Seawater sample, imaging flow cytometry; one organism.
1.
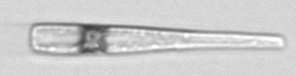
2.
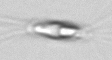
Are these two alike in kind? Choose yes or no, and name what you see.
No. First Licmophora, second Chrysochromulina parkeae.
